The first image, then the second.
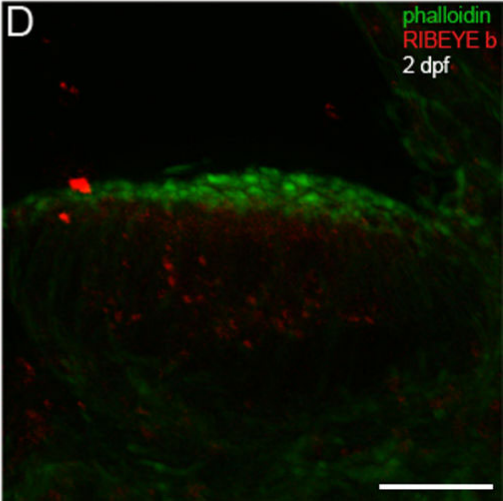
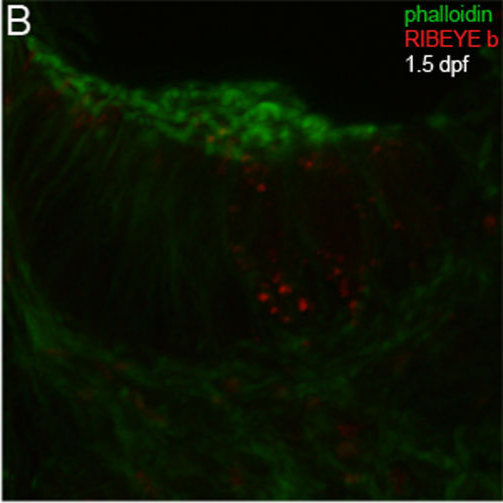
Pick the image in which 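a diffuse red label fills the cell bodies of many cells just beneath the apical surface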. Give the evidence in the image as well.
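First image: a broad reddish haze with puncta spreads under the green apical band across much of the epithelium. Second image: red appears mostly as scattered discrete puncta with little diffuse red under the apical band.
Answer: the first image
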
